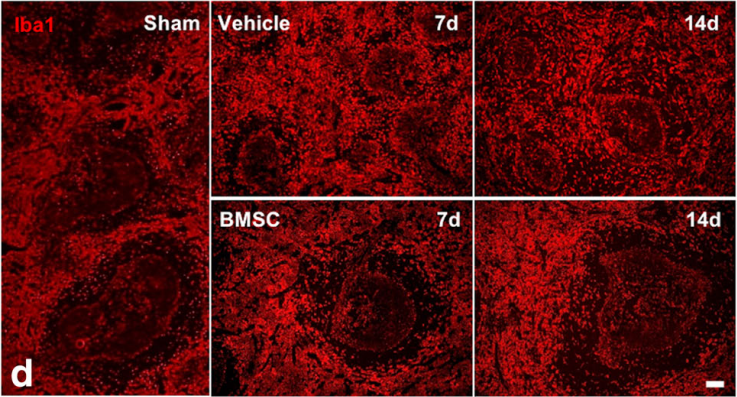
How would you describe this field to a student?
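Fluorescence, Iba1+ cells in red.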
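Across the fields, the red cells lie densely packed in the surrounding pulp, giving a coarse, granular texture of small bright bodies with short irregular outlines. The rounded nodules stand out as darker, more weakly stained areas, often bordered by a ring of brighter cells at their edge, with only scattered red cells inside. The nodules vary in size and are separated by broad bands of the densely stained tissue. No distinct nuclei are shown; the pattern is of cell bodies rather than fine processes.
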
